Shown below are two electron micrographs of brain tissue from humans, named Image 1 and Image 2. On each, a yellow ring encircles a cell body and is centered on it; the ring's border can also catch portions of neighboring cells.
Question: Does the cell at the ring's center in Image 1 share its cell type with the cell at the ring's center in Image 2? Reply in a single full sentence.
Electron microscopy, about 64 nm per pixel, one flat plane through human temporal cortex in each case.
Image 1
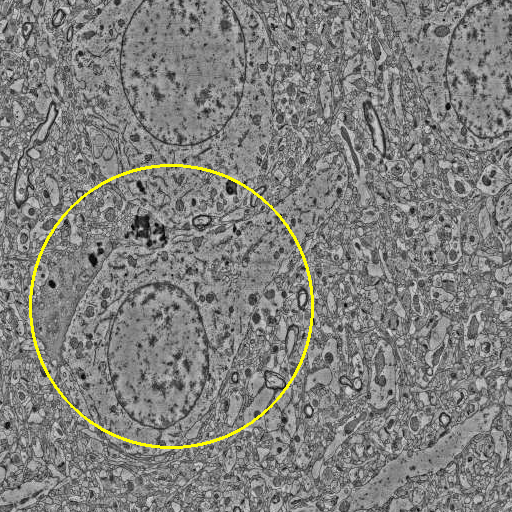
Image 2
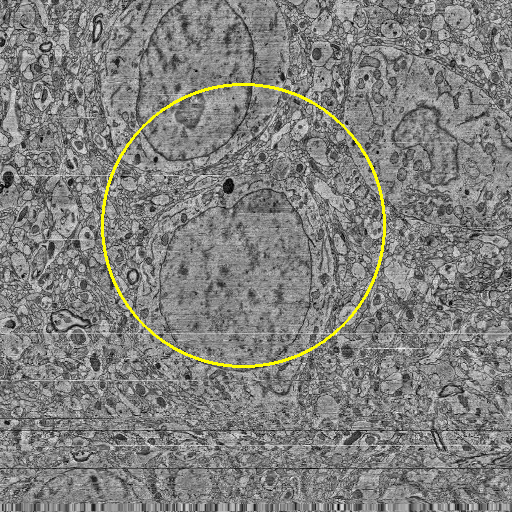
Yes, the two cells at the ring centers, in Image 1 and Image 2, share one cell type.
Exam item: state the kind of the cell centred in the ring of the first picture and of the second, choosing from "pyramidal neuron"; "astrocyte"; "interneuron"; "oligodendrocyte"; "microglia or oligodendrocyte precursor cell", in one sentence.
Each of the ringed cells, first and second, is a pyramidal neuron.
